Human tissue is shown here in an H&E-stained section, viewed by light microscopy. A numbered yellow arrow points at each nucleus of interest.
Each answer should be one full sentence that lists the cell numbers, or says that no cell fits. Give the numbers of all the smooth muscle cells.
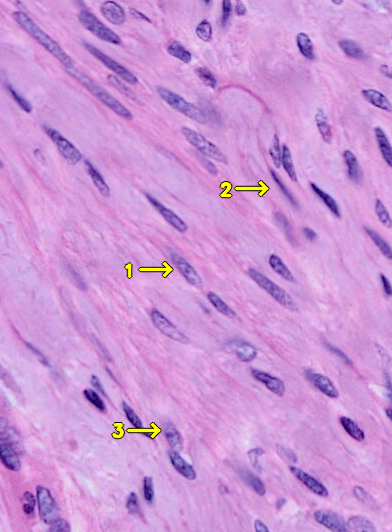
The cells referred to by numbers 1 and 3 are smooth muscle cells.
